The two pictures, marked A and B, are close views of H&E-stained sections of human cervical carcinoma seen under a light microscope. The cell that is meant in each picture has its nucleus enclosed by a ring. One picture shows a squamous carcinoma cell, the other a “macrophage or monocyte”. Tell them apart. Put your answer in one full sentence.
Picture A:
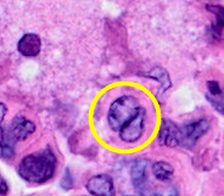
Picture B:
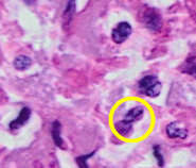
In picture A the cell is a squamous carcinoma cell; in picture B, a “macrophage or monocyte”.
